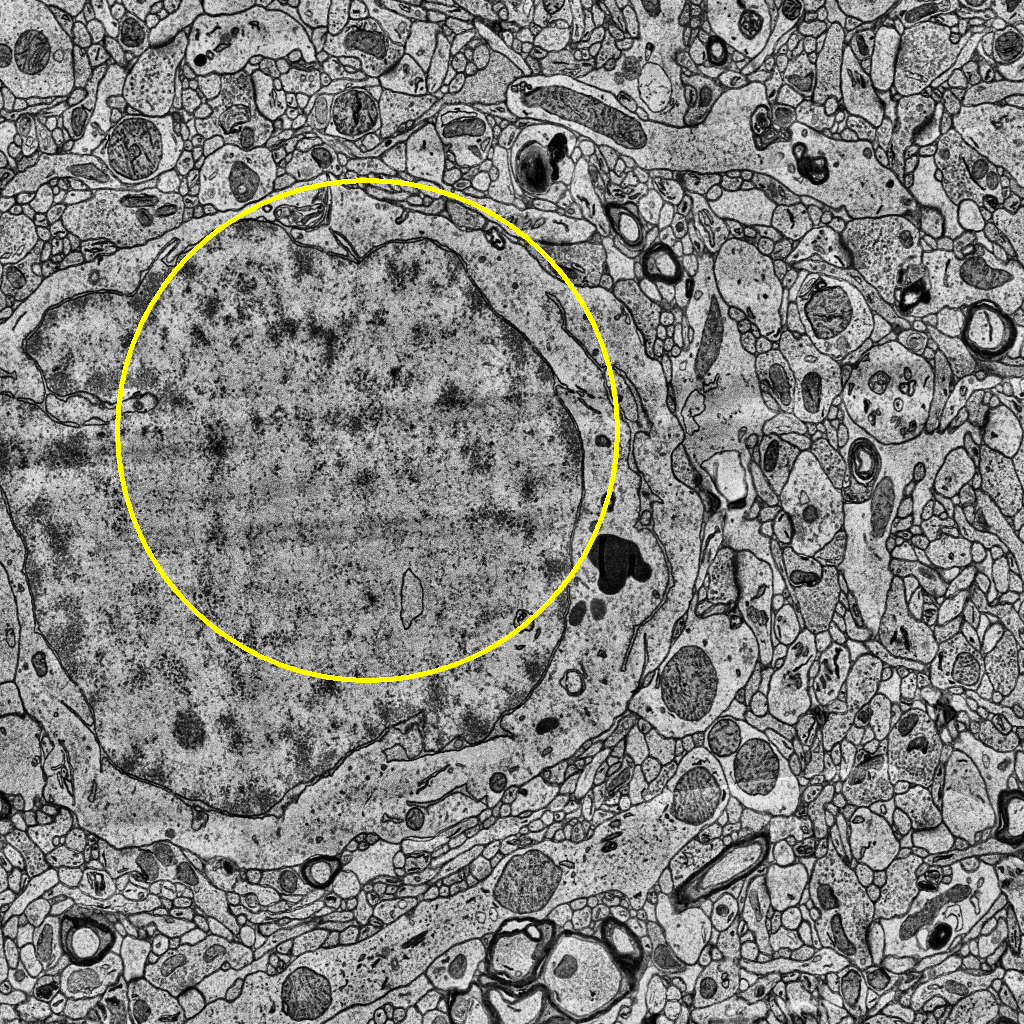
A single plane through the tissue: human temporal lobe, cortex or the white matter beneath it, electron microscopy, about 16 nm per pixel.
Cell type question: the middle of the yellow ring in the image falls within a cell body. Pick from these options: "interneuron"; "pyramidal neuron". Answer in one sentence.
The cell body at the center of the ring belongs to an interneuron.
